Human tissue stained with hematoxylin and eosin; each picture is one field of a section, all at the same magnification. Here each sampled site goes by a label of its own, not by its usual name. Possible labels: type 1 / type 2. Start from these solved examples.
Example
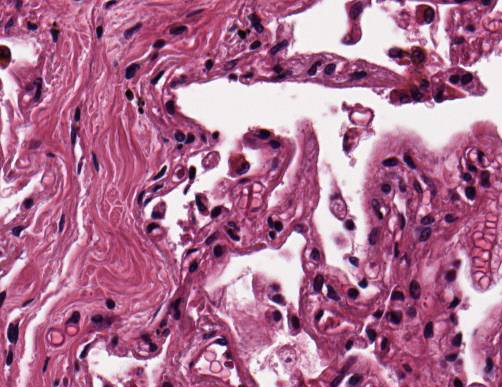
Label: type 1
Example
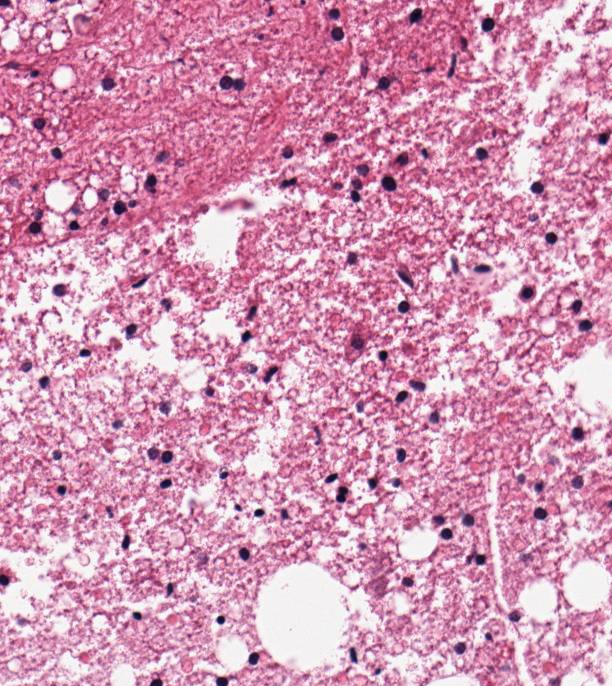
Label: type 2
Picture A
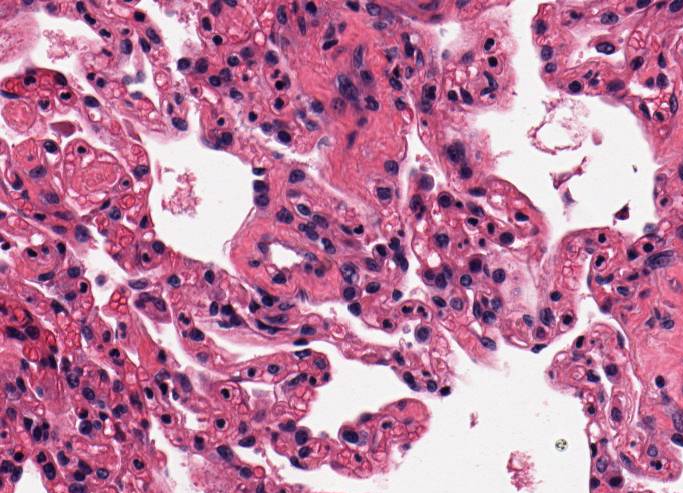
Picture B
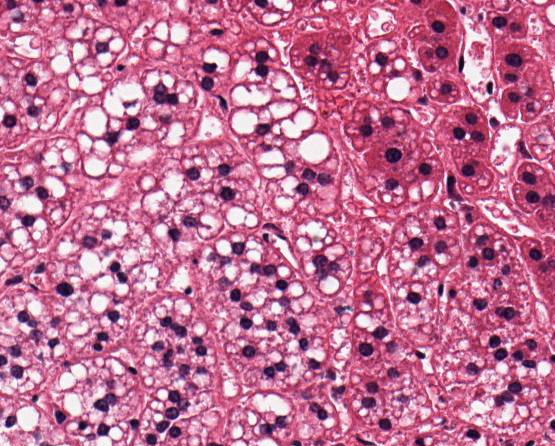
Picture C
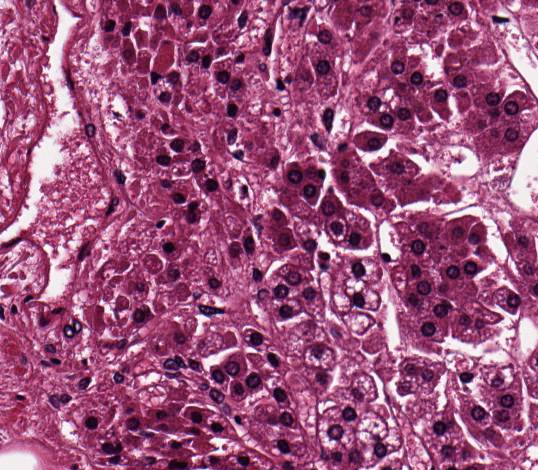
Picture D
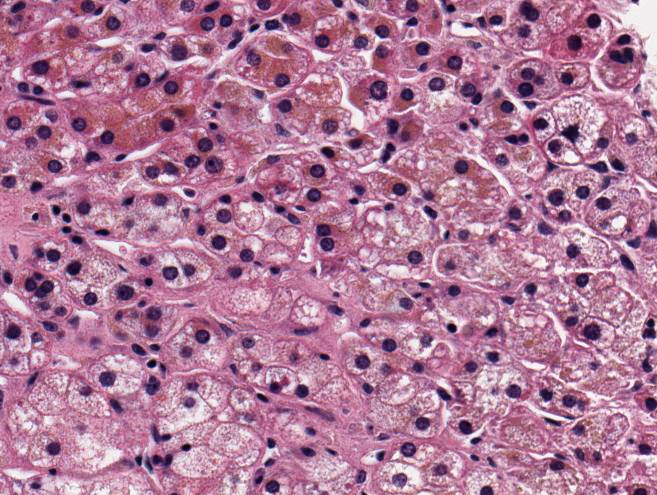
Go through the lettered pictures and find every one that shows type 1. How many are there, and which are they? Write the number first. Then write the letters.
Count: 1 (A)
